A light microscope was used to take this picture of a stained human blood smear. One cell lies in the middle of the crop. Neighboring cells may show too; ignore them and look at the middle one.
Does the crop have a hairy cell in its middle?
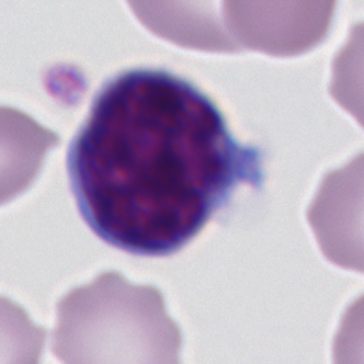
yes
